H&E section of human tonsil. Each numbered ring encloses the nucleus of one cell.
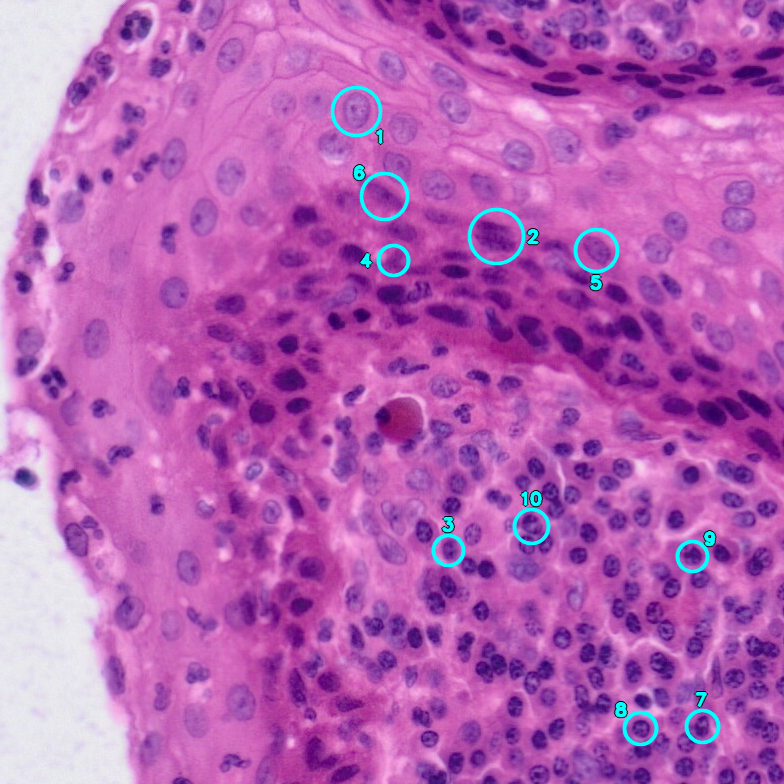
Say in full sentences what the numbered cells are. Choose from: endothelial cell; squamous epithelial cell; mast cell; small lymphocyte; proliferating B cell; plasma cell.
Cells 1, 2, 4, 5 and 6 are squamous epithelial cells. Cells 3, 7, 8, 9 and 10 are plasma cells.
